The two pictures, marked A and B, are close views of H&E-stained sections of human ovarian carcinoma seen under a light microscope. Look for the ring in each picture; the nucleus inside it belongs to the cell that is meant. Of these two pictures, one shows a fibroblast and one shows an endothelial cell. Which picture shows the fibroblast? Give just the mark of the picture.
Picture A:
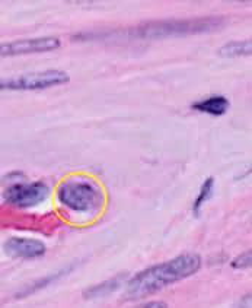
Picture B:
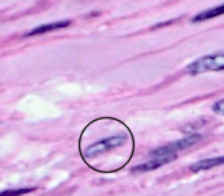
B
